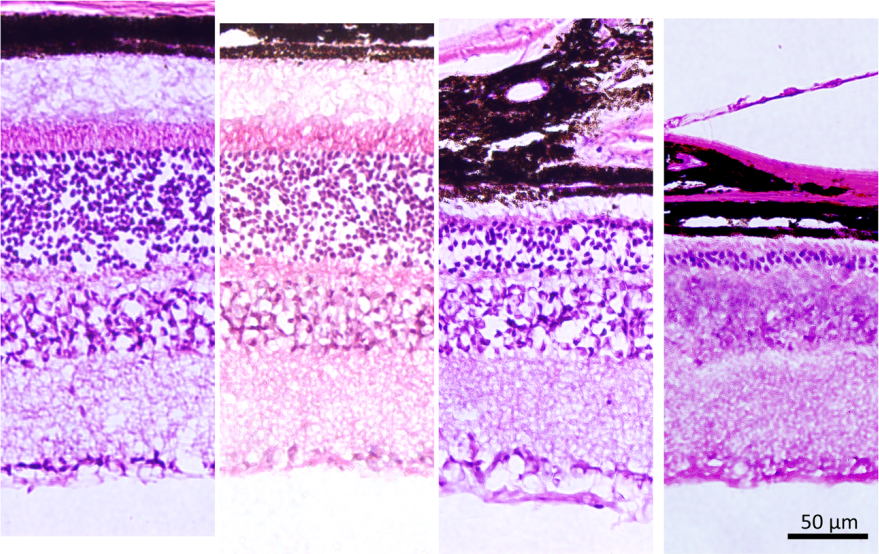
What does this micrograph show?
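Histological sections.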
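Four retinal cross-sections are shown side by side, each with a black pigmented layer at the top and layers of stained nuclei separated by pale pink fibrillar layers below it. In the two left sections, a pale layer of photoreceptor segments lies under the pigment. Below it is a thick outer nuclear layer of many rows of dense, round purple nuclei. In the third section this outer nuclear layer is clearly thinner, with fewer rows of nuclei. In the rightmost section only a thin band a few nuclei deep remains beneath the pigment. The deeper nuclear and fibrillar layers are still present in all four sections.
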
